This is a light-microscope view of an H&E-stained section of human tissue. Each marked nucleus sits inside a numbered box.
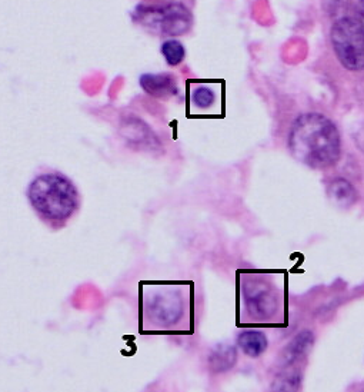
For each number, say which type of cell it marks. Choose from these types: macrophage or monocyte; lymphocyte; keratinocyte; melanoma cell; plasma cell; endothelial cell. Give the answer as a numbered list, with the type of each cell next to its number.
1. lymphocyte
2. melanoma cell
3. melanoma cell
